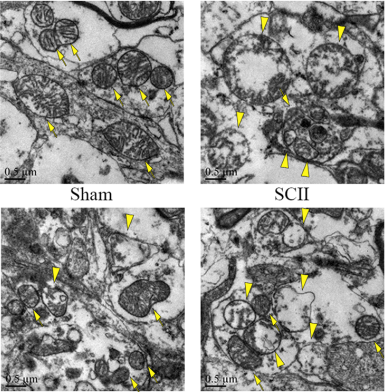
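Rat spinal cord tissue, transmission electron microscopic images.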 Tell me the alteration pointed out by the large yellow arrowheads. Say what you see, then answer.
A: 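Enlarged rounded organelles with pale, electron-lucent matrix. Cristae sparse, fragmented or absent. Outer membrane outlines a largely empty interior. That points to this answer: swollen mitochondria.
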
